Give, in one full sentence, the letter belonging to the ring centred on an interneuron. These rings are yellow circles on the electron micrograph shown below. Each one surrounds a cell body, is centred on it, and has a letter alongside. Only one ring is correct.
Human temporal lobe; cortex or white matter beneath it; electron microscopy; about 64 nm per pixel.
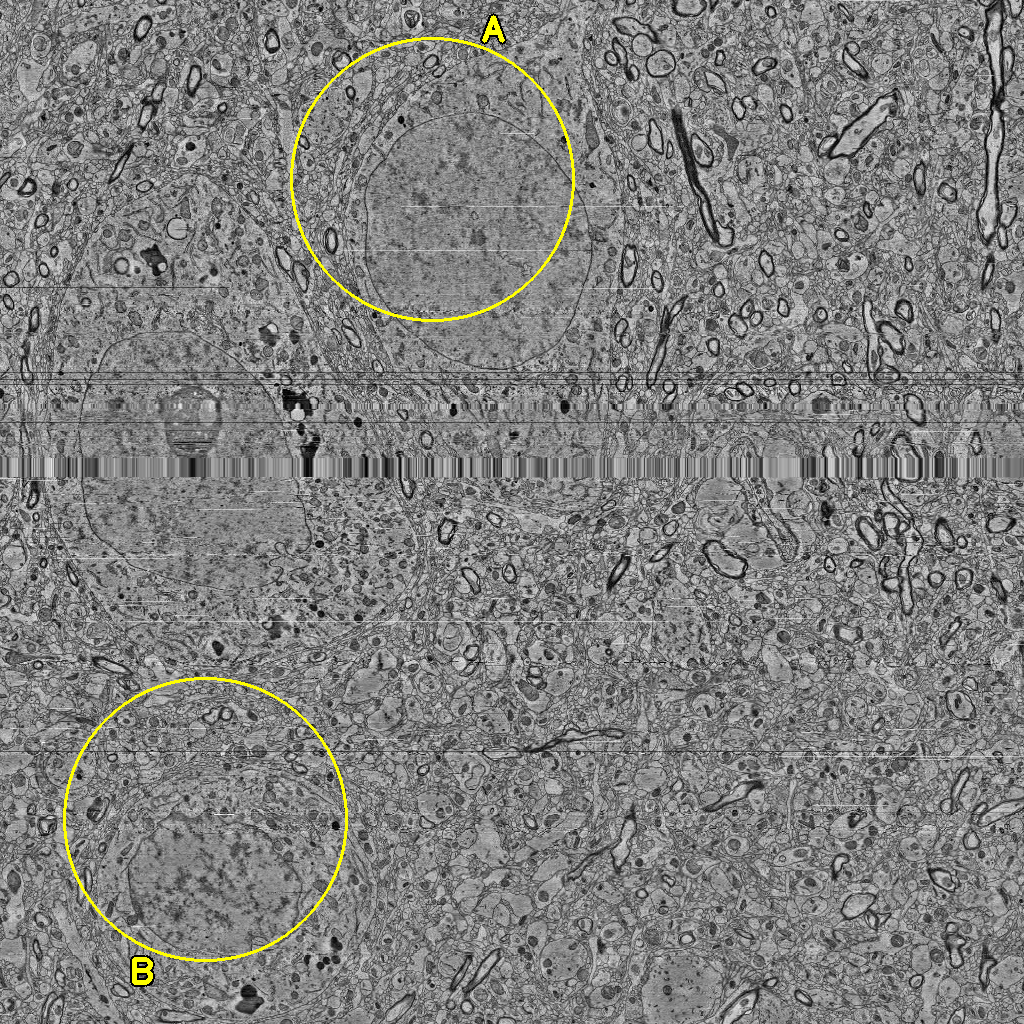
My answer is B, the ring centred on the cell asked for.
